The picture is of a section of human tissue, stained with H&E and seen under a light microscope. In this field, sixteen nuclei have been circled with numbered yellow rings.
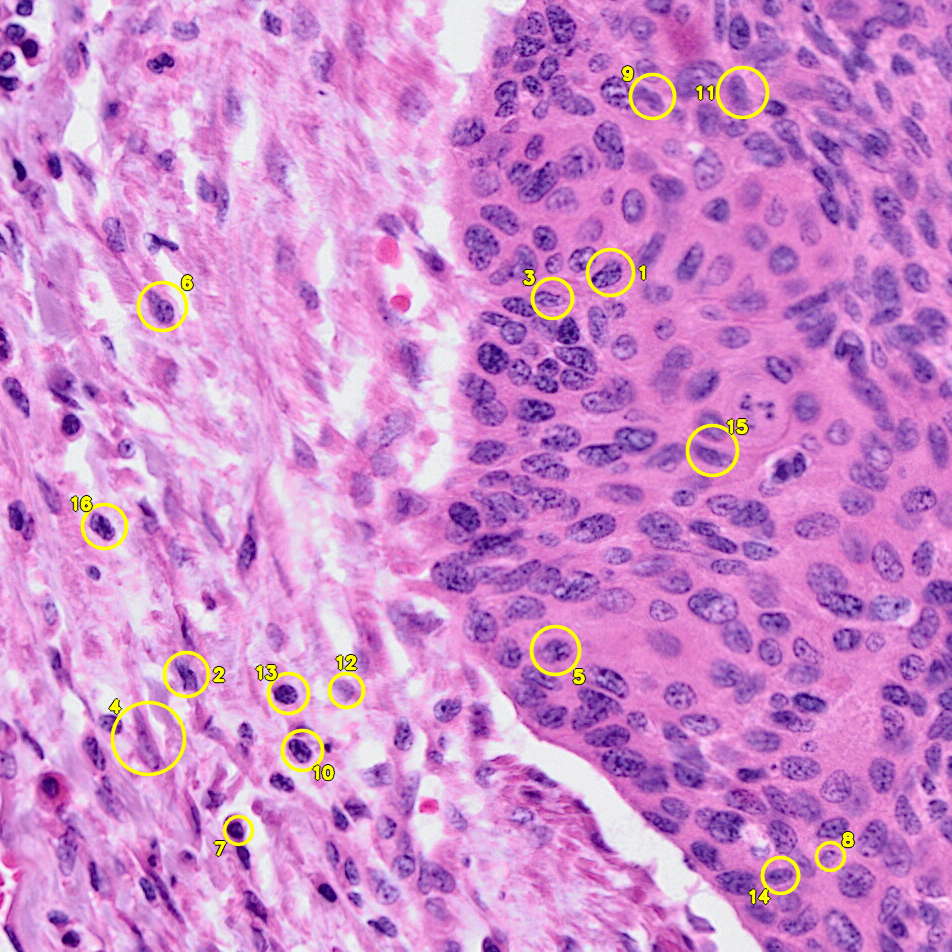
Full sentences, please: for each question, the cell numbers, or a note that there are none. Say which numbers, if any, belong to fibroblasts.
The cells with labels 2, 4 and 12 are fibroblasts.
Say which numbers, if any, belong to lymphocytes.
Classified as lymphocytes are the cells numbered 7, 10, 13 and 16.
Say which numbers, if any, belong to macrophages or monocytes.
Cell 6 alone, of all the numbered cells, is a macrophage or monocyte.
